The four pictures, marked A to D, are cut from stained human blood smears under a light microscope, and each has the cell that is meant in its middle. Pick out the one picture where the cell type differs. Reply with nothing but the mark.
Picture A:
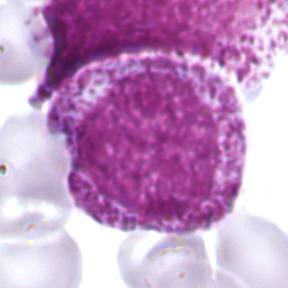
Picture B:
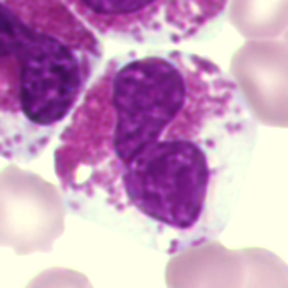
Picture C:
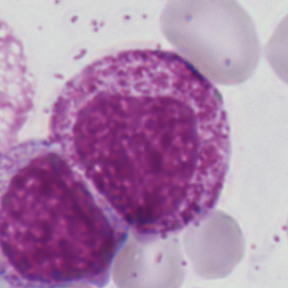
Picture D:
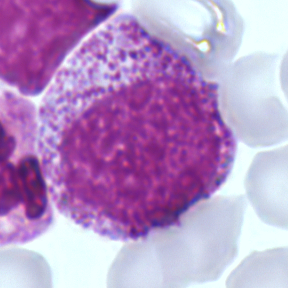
B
